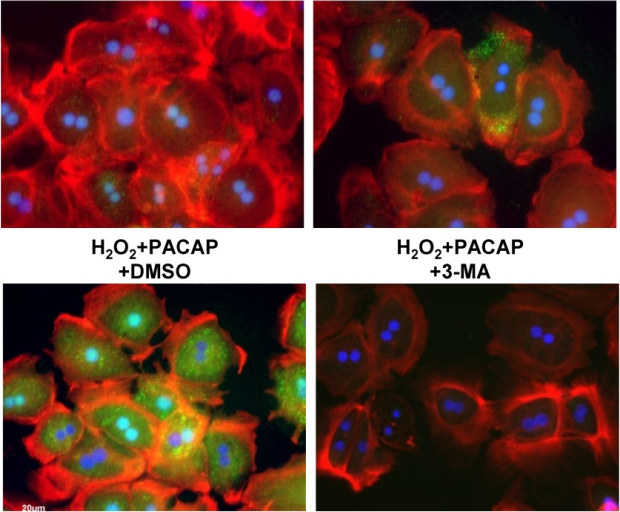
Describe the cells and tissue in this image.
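These are cultured hepatocytes, large polygonal cells many of which carry two round blue nuclei in a central position. In some images fine green dots fill the cytoplasm and overlie the nuclei, while in others the green is faint or absent.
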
